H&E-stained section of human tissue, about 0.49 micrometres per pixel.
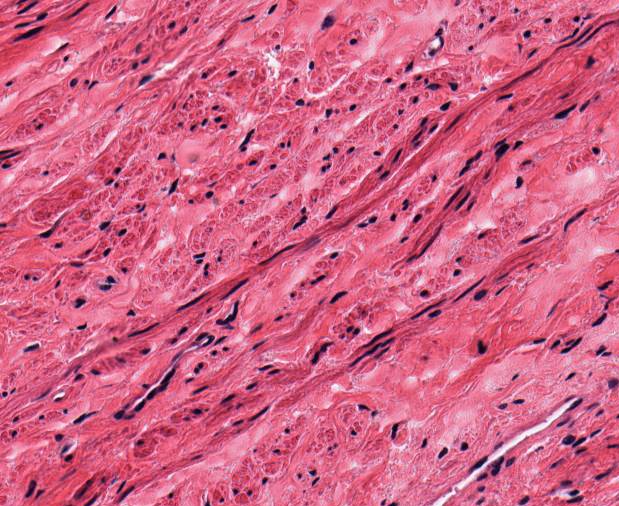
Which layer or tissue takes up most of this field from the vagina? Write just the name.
smooth muscle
